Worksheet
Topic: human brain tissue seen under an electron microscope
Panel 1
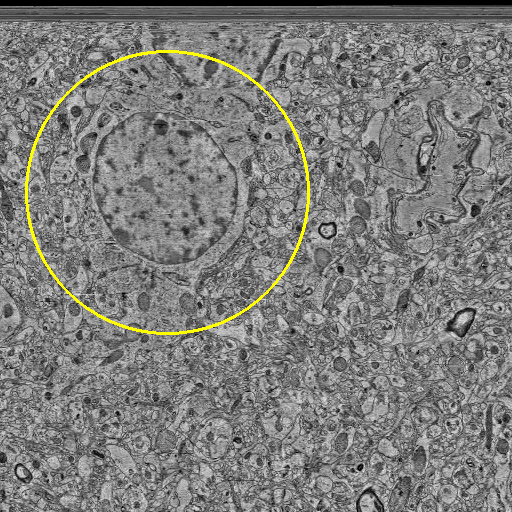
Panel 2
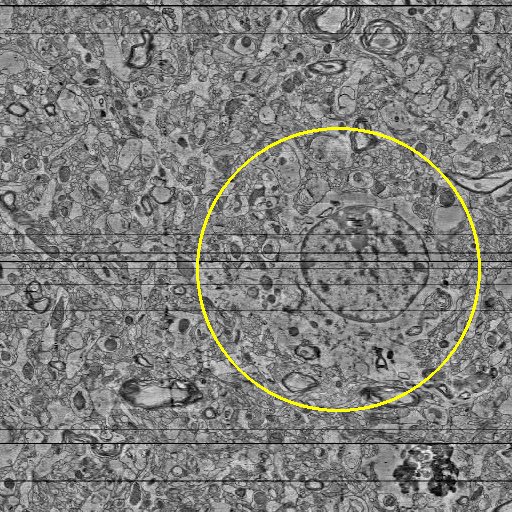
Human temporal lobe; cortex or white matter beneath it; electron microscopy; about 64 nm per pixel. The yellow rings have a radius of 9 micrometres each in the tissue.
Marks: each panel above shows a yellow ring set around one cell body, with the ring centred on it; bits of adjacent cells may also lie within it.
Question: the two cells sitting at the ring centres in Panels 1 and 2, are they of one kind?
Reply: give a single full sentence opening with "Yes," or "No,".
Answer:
Yes, the two ring-centre cells in Panel 1 and Panel 2 are of one kind.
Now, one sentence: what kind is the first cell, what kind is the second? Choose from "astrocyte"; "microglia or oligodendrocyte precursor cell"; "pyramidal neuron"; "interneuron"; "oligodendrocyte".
In each of the two pictures, the ringed cell is an astrocyte.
